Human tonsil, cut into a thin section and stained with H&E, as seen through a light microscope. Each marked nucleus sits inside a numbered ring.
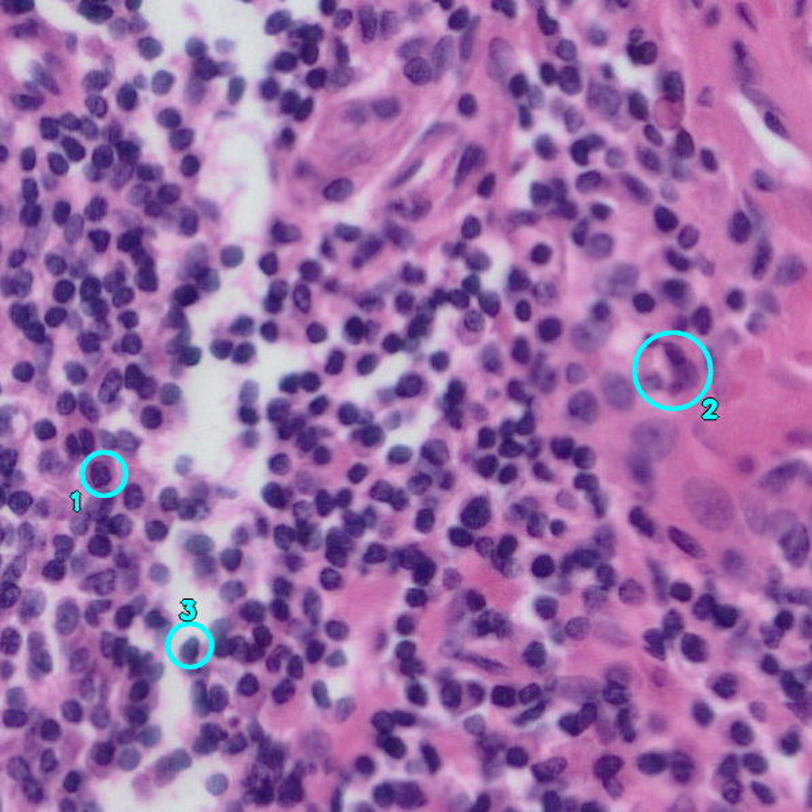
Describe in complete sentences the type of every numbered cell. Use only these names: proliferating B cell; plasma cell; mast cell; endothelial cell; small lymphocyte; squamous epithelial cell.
Cell 1 is a plasma cell. Cell 2 is an endothelial cell. Cell 3 is a small lymphocyte.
